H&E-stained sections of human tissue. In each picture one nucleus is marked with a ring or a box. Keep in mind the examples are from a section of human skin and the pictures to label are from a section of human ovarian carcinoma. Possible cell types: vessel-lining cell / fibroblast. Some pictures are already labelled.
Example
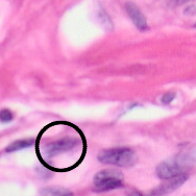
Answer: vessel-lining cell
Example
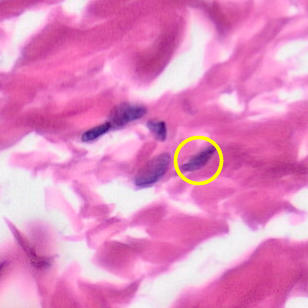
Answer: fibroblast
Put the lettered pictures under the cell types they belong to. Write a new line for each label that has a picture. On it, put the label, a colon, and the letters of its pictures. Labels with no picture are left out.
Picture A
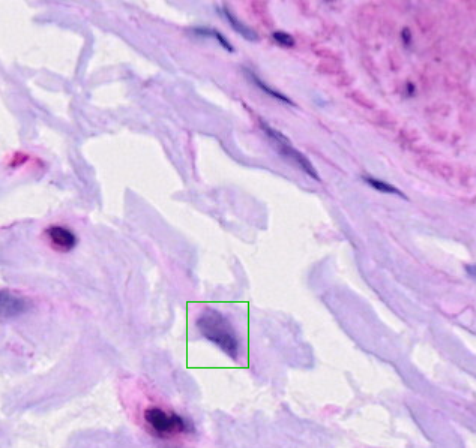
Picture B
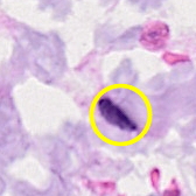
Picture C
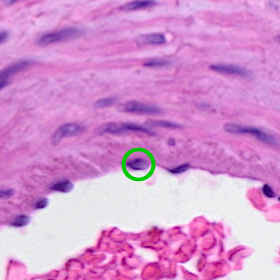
vessel-lining cell: C
fibroblast: A, B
